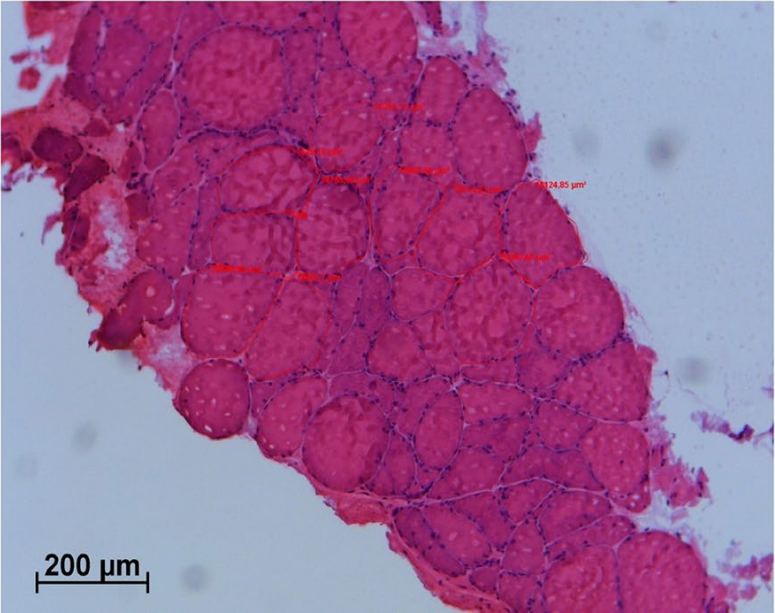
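Skeletal muscle fibres are cut in cross-section and appear as closely packed, rounded to polygonal profiles with pink cytoplasm. Their cytoplasm looks mottled, with many small pale spots. Dark purple nuclei lie at the periphery of the fibres, along the thin septa between them. Some fibres at the left edge of the sample stain a deeper red.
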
